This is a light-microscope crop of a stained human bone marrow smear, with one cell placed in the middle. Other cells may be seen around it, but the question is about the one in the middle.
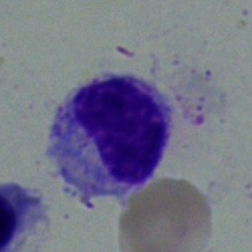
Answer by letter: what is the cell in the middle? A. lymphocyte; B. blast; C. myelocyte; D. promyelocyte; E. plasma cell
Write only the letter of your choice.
C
